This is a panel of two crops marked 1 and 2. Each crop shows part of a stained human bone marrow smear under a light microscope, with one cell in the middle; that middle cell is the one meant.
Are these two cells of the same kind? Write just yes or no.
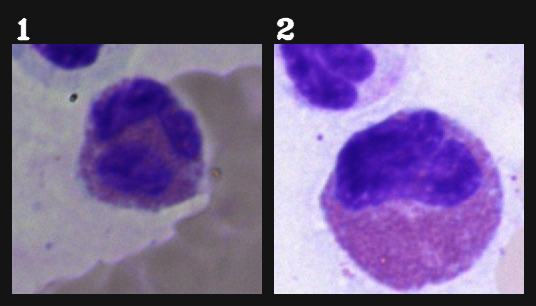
yes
